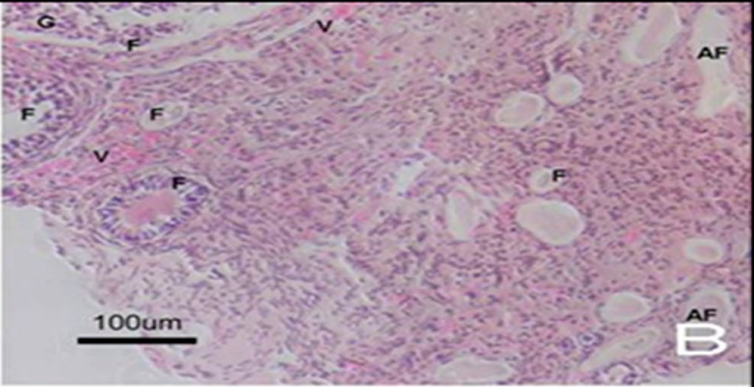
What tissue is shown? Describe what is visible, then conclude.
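Many small pale rounded spaces scattered in cellular stroma.
Hence: ovaries.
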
